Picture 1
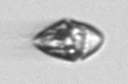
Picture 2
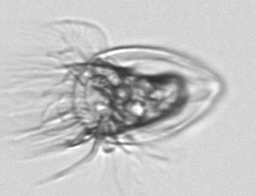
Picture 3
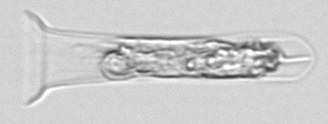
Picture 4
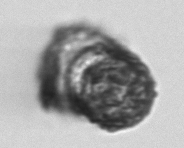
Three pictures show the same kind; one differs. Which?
Picture 1: Gyrodinium, while the others are tintinnids.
